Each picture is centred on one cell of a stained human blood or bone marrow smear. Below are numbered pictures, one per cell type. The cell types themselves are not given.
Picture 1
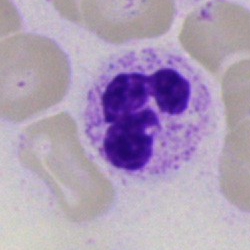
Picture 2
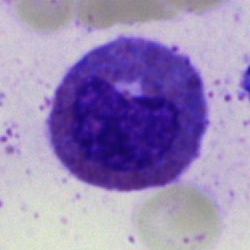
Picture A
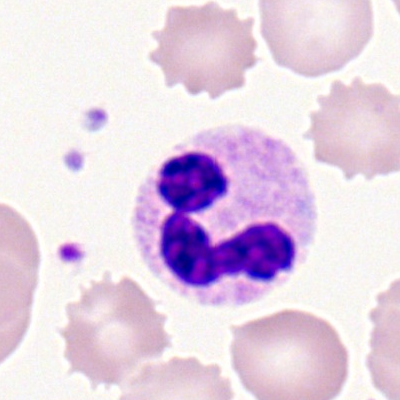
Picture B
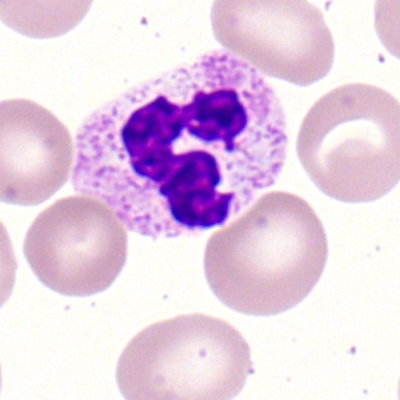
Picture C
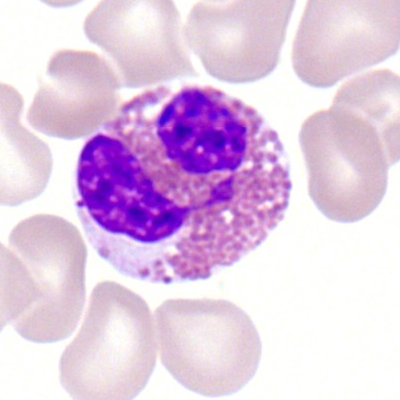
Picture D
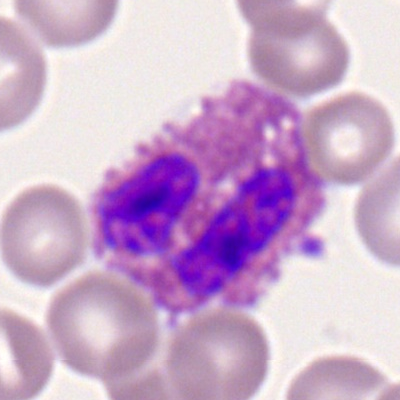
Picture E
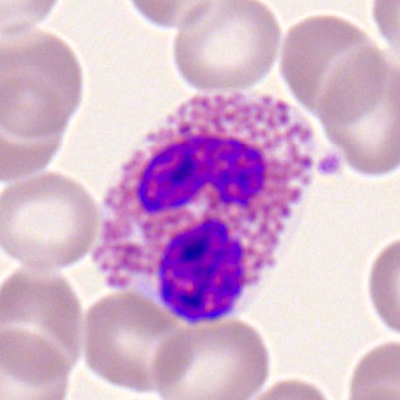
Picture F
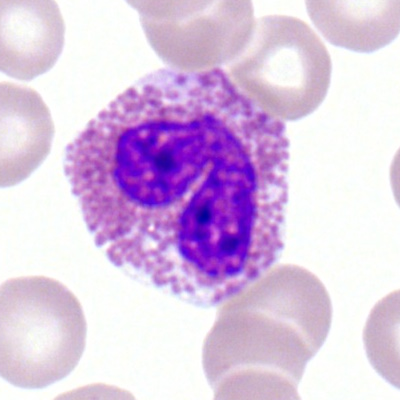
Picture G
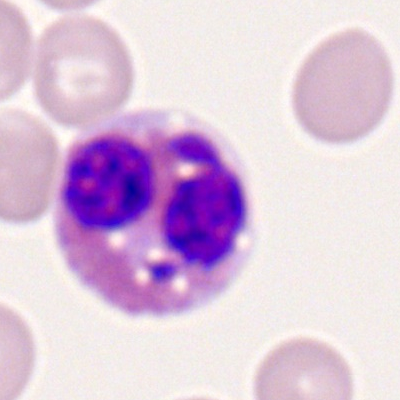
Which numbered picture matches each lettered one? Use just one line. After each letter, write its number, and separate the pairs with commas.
A 1, B 1, C 2, D 2, E 2, F 2, G 2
